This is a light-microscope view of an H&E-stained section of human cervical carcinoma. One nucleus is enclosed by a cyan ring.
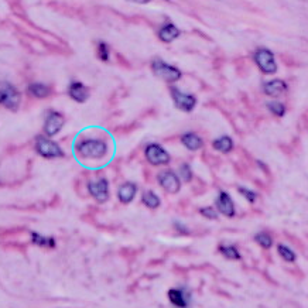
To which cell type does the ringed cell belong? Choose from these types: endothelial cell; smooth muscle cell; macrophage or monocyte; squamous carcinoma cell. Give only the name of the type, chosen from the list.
smooth muscle cell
